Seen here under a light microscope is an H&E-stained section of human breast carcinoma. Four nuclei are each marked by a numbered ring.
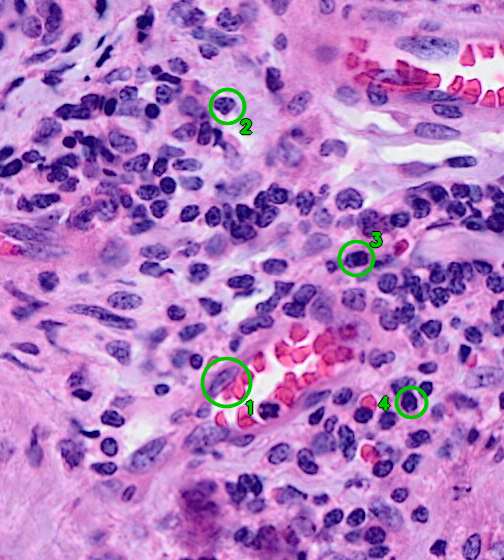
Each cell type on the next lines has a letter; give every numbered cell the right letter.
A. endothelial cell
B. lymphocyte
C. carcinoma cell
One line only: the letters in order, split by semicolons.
A; B; B; B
